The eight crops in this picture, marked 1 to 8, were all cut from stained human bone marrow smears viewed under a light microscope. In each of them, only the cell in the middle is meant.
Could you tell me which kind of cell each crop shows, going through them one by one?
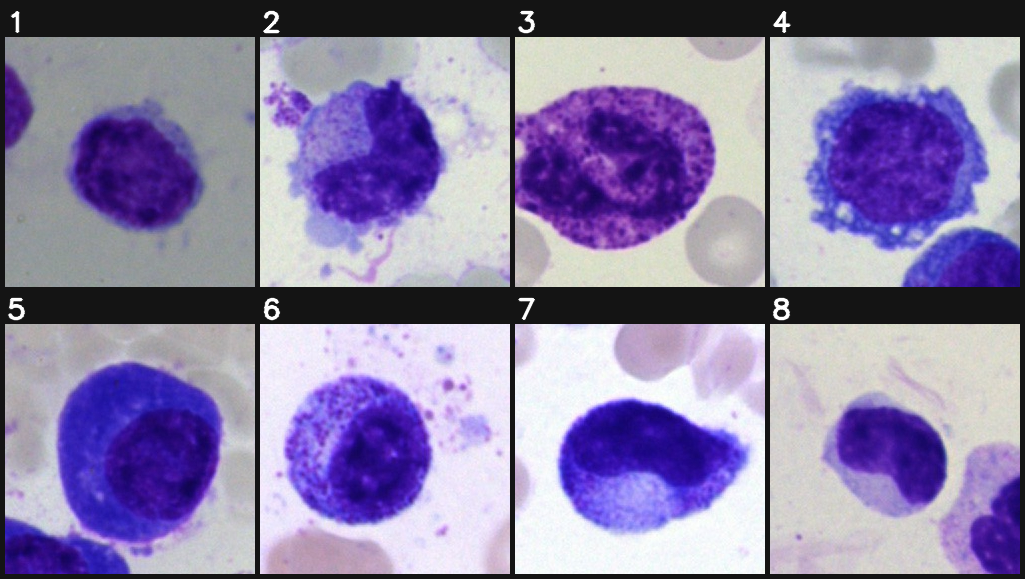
1: hairy cell
2: monocyte
3: basophil
4: blast
5: plasma cell
6: promyelocyte
7: metamyelocyte
8: lymphocyte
